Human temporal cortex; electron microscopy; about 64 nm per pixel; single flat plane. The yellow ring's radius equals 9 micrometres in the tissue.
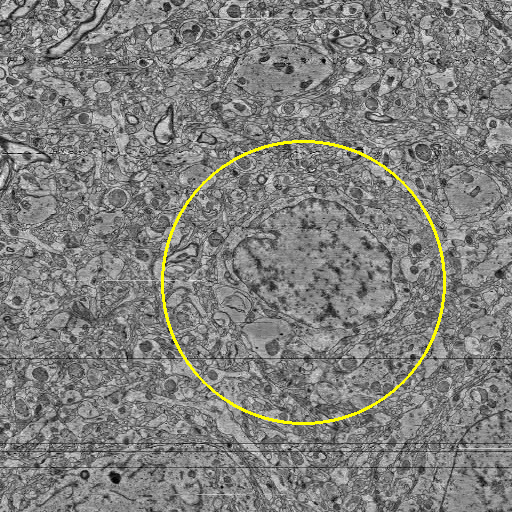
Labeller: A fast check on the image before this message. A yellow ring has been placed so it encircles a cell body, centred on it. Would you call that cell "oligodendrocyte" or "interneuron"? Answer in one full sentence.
In this image, an interneuron is the cell on which the yellow ring is centred.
